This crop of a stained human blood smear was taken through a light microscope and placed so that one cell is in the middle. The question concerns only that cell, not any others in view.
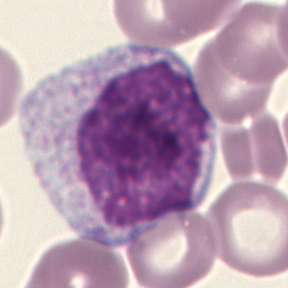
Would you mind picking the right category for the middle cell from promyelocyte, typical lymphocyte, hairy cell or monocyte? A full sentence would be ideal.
In this crop, the cell at the very middle is a promyelocyte.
